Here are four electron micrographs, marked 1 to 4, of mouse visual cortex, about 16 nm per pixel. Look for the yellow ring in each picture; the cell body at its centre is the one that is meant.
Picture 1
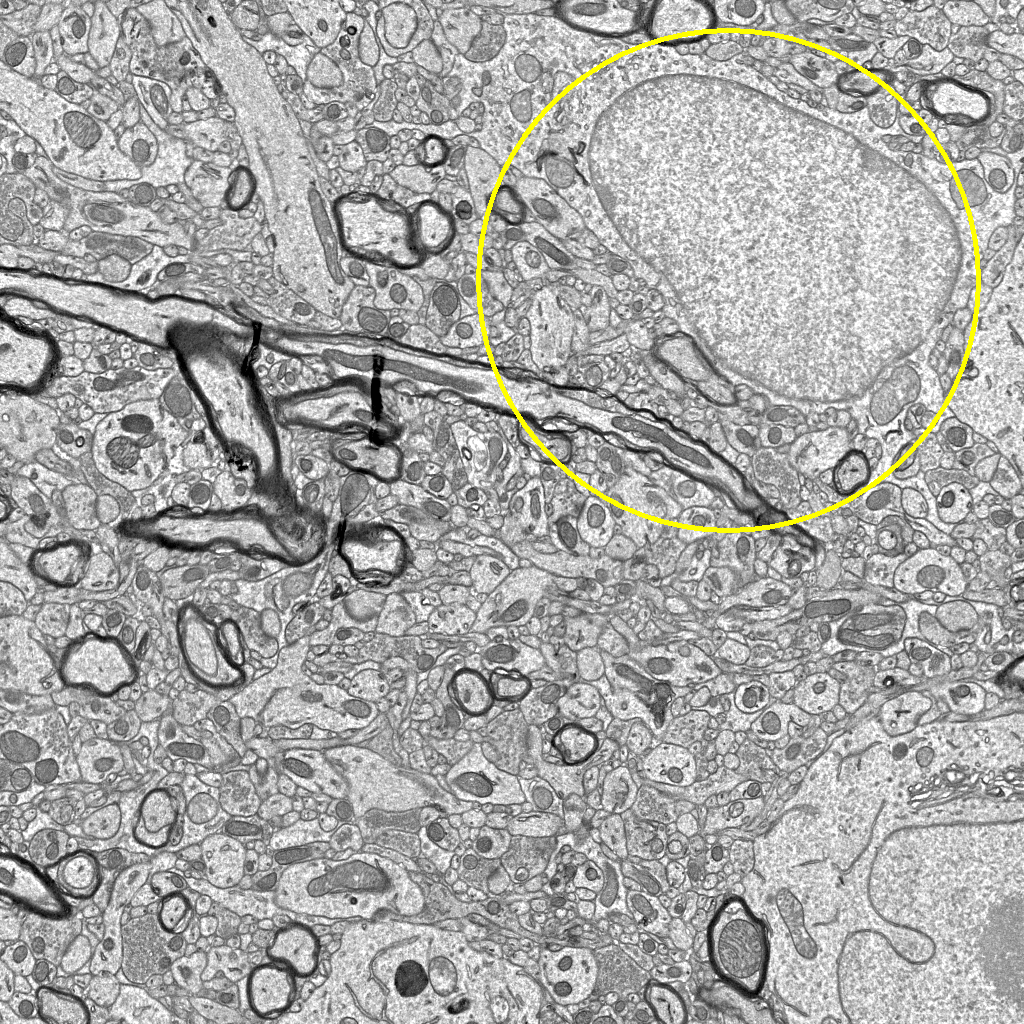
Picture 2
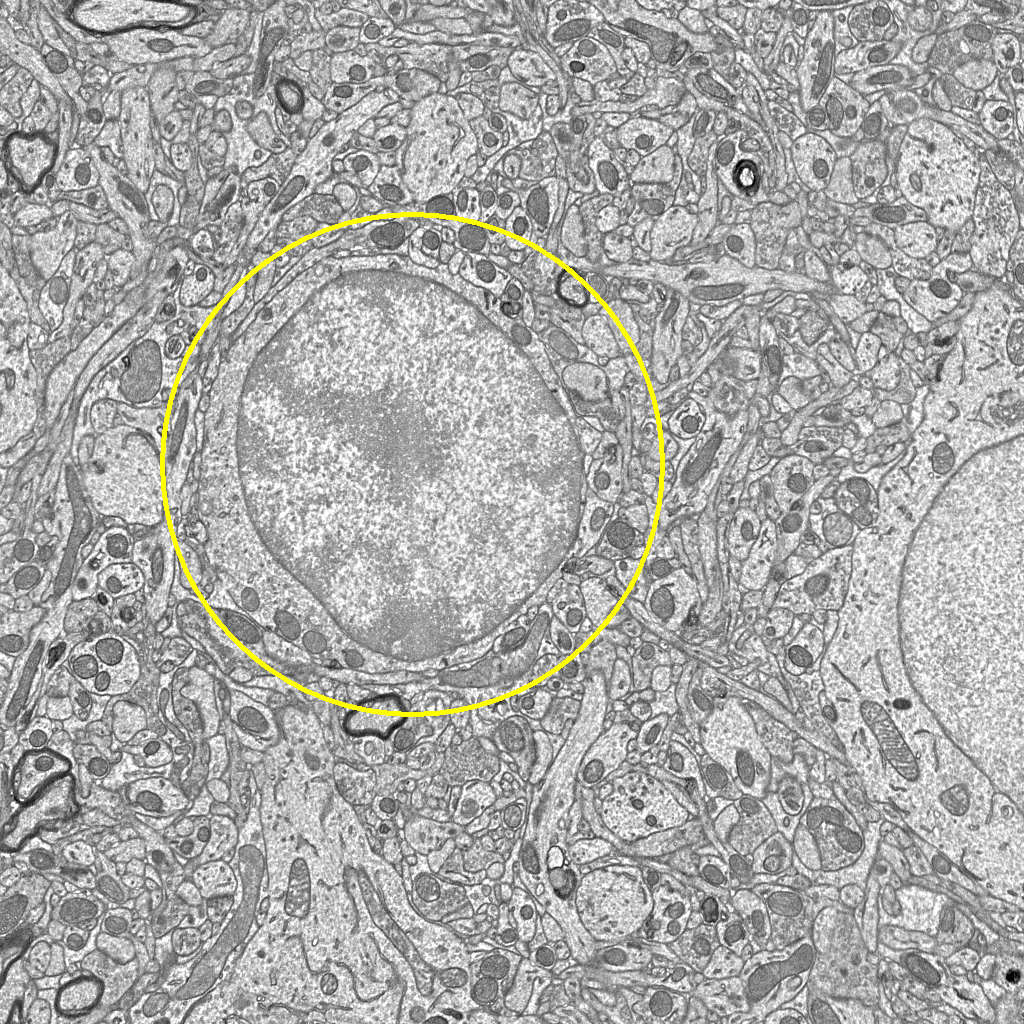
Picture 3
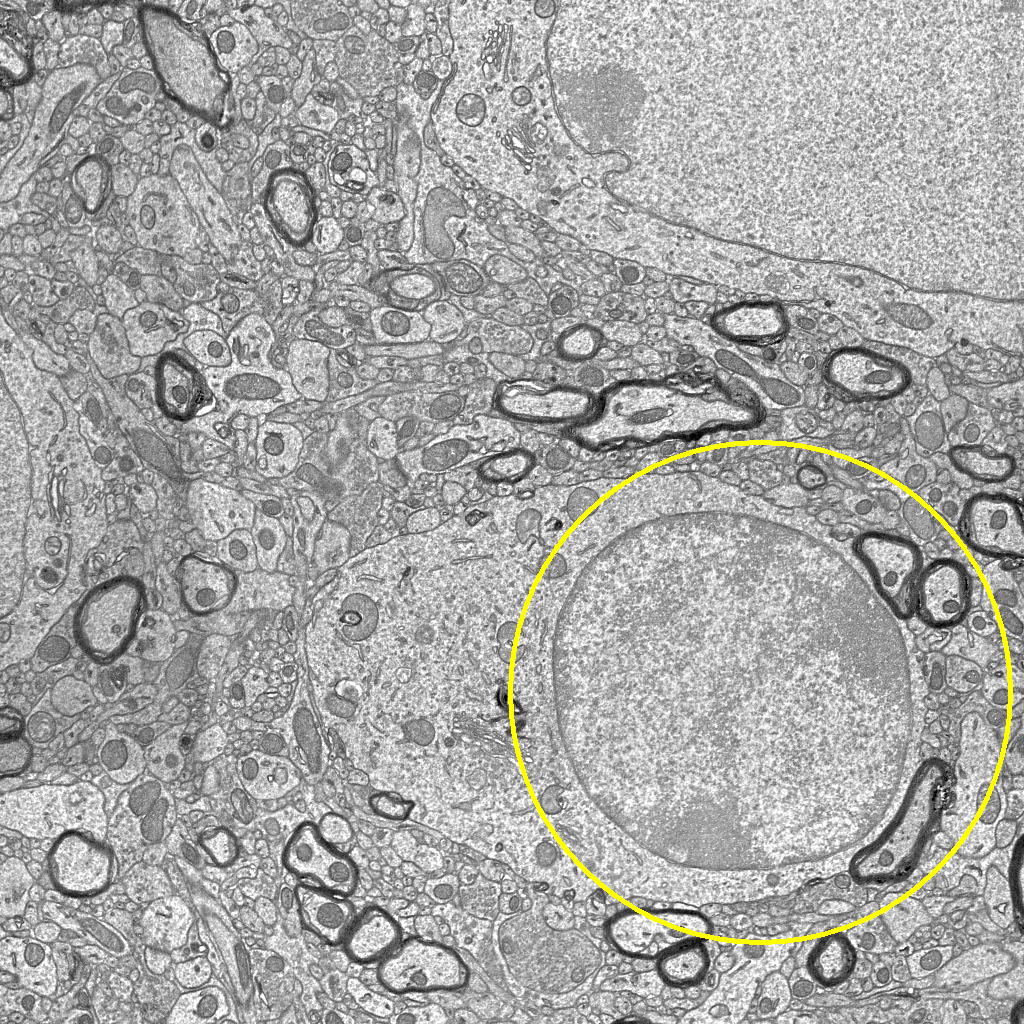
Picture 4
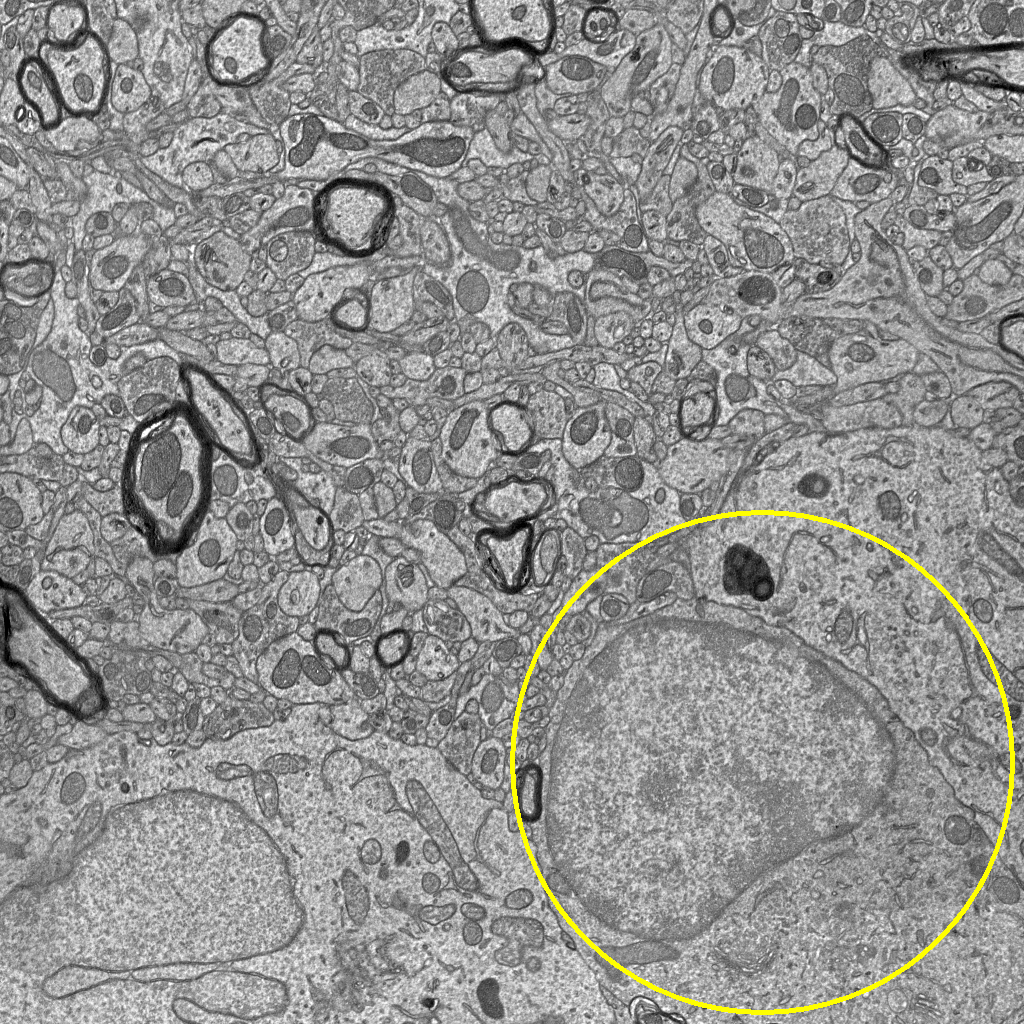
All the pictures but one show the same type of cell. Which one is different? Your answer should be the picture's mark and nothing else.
1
